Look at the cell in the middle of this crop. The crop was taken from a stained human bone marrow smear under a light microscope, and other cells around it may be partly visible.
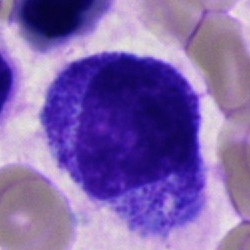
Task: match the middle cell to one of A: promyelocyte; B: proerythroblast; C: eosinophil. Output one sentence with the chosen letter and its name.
The centrally positioned cell is a promyelocyte, consistent with option A, which is correct.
